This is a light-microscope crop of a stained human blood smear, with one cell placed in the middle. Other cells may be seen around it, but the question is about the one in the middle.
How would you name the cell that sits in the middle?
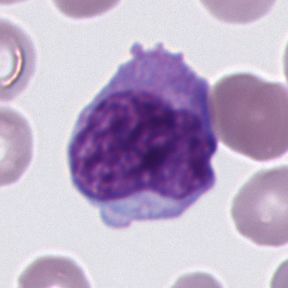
atypical promyelocyte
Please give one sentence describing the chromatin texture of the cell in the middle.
Heads up, the chromatin in this one is coarsely clumped.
